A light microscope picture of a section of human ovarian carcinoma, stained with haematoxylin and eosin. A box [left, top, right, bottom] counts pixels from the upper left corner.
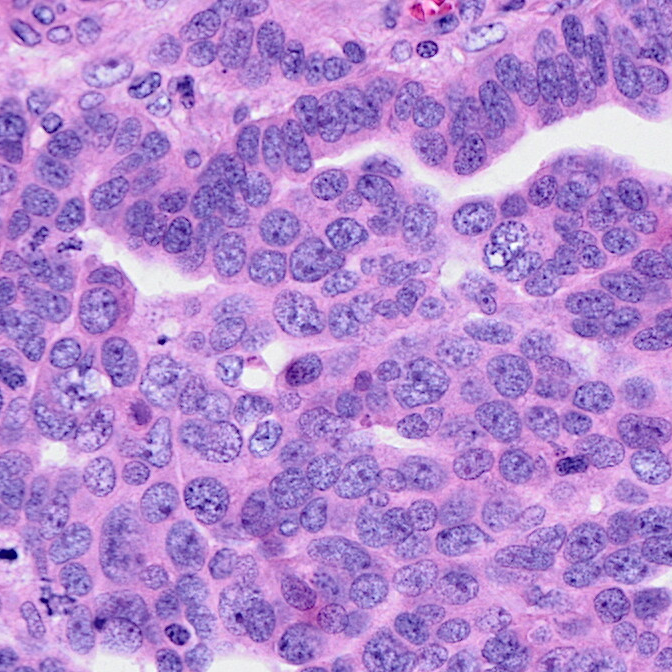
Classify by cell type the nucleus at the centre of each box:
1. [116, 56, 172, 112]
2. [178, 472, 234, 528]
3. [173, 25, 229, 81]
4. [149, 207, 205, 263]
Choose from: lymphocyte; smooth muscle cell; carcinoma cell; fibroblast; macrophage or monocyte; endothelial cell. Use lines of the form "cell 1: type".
cell 1: macrophage or monocyte
cell 2: carcinoma cell
cell 3: carcinoma cell
cell 4: carcinoma cell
